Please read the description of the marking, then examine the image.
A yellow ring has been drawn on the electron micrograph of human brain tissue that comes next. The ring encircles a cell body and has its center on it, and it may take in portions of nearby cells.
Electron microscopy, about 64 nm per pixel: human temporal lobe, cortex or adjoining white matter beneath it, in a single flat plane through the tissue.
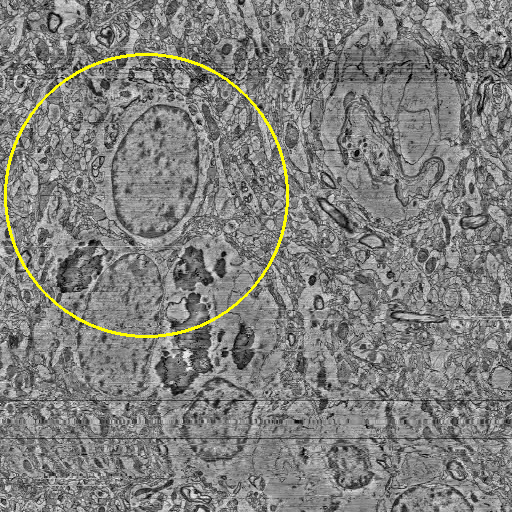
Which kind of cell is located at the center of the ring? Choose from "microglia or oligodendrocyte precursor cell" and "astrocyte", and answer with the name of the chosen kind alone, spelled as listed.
astrocyte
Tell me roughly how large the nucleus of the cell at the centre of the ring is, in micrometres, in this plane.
The ringed cell's nucleus is roughly 9 by 6 micrometres and clearly longer than it is wide in this plane.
